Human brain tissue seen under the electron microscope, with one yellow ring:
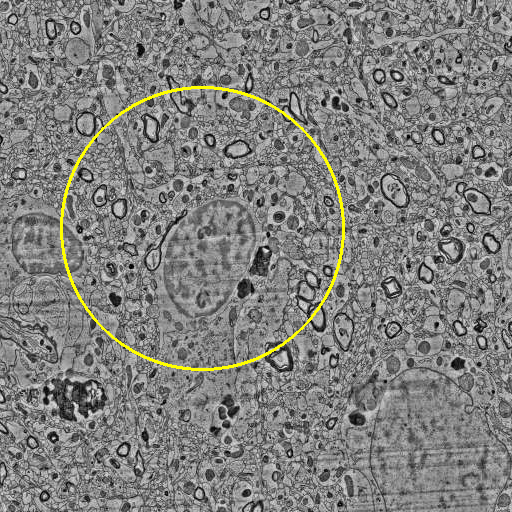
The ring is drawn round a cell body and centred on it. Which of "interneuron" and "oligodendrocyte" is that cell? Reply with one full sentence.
The picture shows an oligodendrocyte at the very centre of the yellow ring.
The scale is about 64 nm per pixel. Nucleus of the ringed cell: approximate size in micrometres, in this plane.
In this plane the nucleus measures roughly 8 by 6 micrometres.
